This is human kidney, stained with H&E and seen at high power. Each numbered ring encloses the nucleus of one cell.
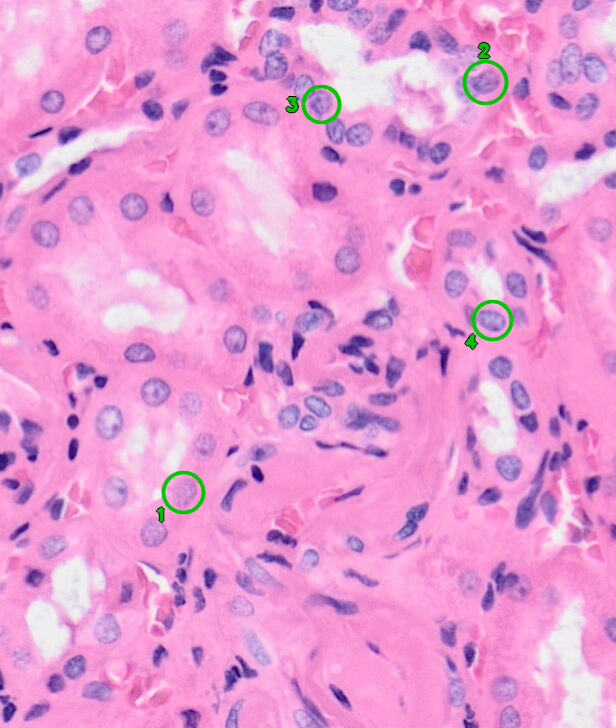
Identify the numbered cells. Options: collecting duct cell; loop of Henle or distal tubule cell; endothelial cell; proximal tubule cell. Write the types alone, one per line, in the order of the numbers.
proximal tubule cell
collecting duct cell
collecting duct cell
collecting duct cell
